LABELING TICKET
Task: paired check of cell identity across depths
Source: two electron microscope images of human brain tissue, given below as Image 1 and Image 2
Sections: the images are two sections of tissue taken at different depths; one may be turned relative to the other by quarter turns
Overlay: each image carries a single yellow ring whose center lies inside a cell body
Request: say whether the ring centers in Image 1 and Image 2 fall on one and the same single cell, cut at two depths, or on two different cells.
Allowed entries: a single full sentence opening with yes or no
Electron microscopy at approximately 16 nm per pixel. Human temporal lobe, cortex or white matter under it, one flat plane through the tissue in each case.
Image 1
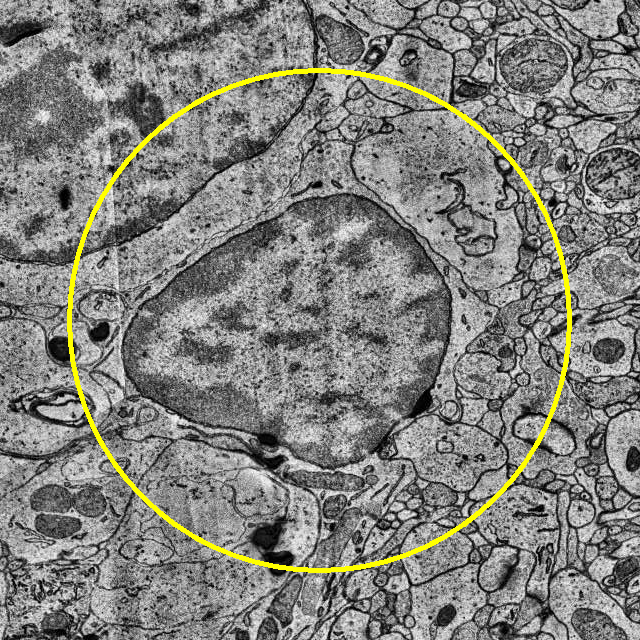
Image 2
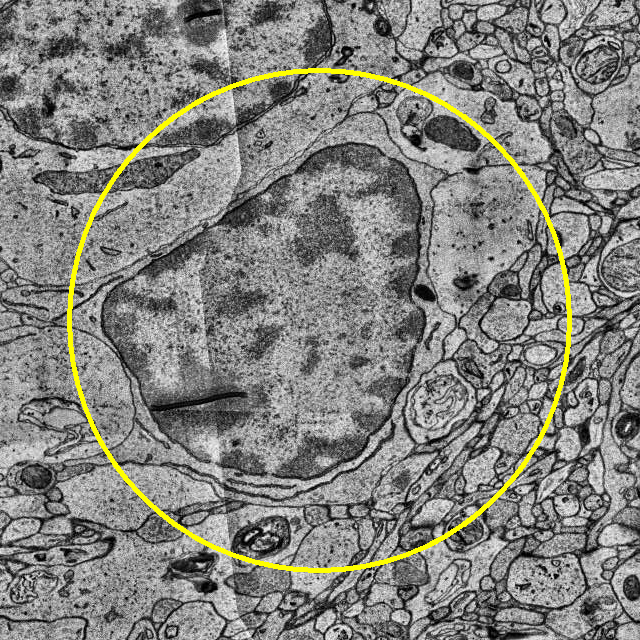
Yes, a single cell is the subject of both yellow rings.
